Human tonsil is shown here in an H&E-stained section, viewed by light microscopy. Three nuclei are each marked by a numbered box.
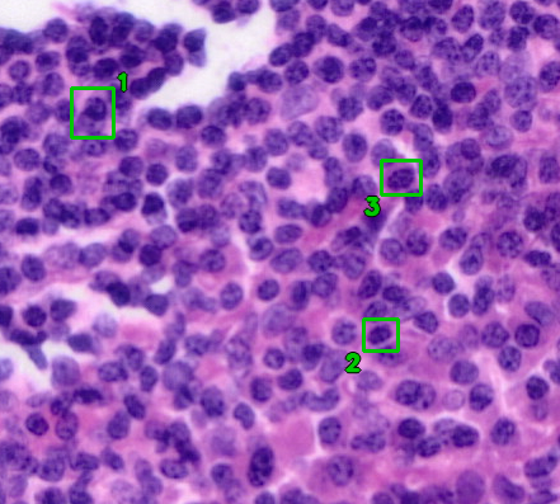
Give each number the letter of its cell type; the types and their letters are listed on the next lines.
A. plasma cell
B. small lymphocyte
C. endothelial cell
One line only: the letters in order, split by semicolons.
B; A; A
